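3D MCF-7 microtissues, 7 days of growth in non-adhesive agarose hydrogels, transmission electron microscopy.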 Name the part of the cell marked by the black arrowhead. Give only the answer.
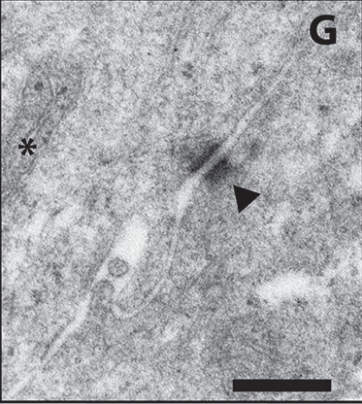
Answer: Desmosomes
